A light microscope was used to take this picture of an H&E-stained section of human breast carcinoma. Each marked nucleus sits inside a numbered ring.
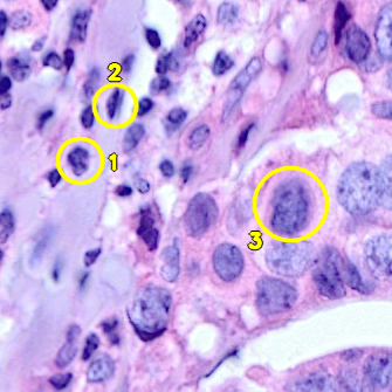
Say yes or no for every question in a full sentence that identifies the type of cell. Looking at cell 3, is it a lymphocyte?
No, the cell with the number 3 is a carcinoma cell, not a lymphocyte.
